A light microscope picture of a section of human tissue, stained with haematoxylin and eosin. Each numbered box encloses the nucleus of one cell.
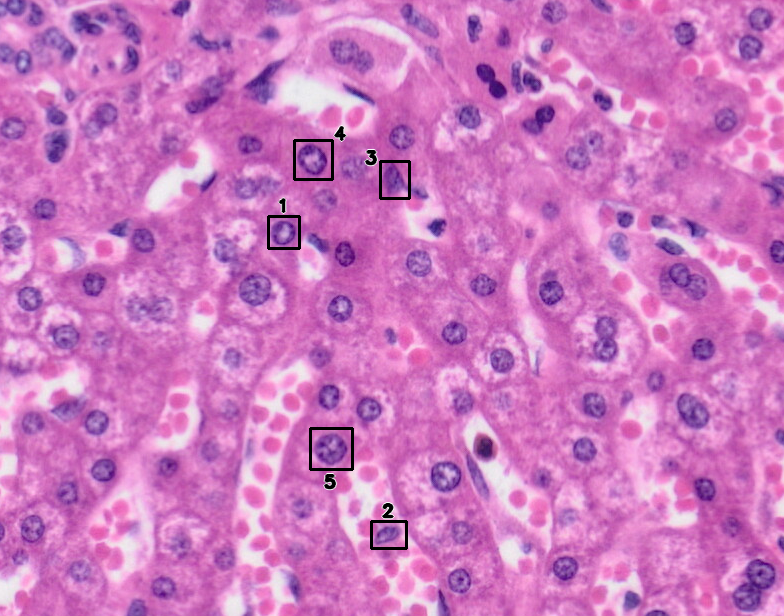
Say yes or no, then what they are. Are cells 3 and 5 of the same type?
No, cell 3 is a fibroblast or stellate cell and cell 5 is a hepatocyte.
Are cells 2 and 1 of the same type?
No, cell 2 is a Kupffer cell and cell 1 is a hepatocyte.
